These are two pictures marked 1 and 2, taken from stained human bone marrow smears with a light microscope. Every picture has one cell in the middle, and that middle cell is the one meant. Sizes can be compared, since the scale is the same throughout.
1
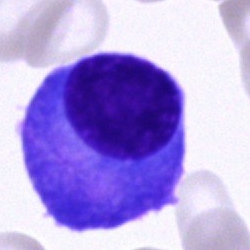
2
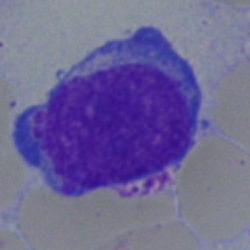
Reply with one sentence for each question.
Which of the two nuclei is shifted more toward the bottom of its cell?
It is the nucleus in crop 2 that lies further toward the bottom of its cell.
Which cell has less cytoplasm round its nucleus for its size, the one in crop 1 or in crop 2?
The nucleus fills more of the cell in crop 2 than in crop 1.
